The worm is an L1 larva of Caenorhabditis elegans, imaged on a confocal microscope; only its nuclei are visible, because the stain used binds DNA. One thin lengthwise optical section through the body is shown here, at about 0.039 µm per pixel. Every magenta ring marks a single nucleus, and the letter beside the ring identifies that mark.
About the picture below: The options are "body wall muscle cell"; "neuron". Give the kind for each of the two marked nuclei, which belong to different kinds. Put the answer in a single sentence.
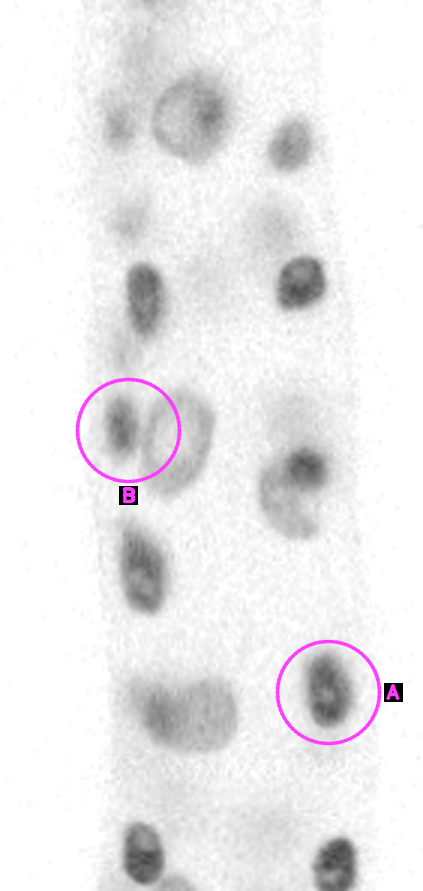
A is the nucleus of a body wall muscle cell; B is the nucleus of a neuron.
